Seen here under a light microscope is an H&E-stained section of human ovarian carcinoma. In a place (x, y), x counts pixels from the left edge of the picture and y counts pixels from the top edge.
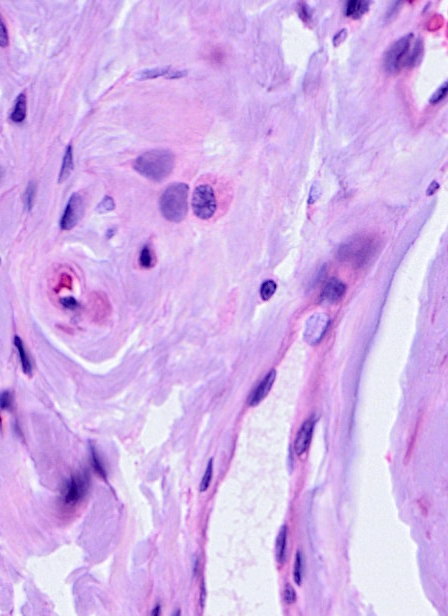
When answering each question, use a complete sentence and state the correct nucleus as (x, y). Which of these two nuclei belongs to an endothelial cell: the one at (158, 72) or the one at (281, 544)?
It is the nucleus at (281, 544) that forms part of an endothelial cell.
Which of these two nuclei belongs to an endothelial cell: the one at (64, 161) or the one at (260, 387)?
The nucleus at (260, 387) is the one that belongs to an endothelial cell.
